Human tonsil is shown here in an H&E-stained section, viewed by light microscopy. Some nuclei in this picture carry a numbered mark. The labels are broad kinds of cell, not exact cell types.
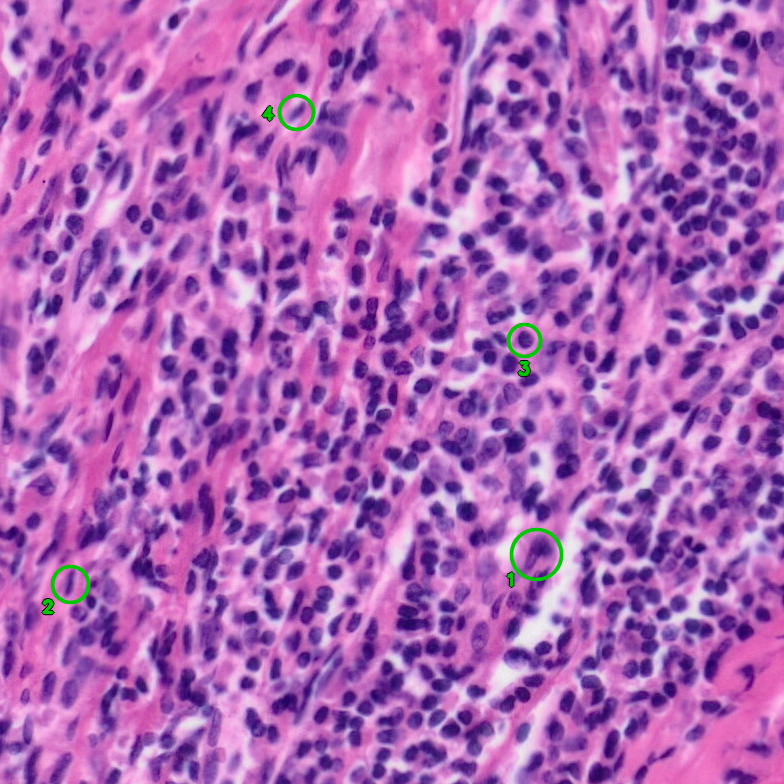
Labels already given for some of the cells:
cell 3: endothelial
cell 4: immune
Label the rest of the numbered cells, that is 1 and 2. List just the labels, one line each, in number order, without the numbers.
endothelial
immune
